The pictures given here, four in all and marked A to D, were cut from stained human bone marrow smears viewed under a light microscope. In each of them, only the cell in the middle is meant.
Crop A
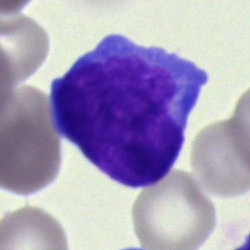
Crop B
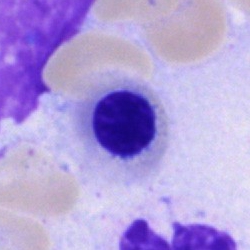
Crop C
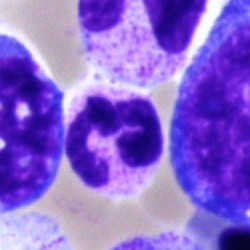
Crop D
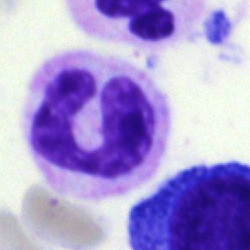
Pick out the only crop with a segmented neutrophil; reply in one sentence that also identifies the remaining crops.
The middle of crop C is occupied by a segmented neutrophil, while crop A is a blast, crop B is an erythroblast and crop D is a band neutrophil.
